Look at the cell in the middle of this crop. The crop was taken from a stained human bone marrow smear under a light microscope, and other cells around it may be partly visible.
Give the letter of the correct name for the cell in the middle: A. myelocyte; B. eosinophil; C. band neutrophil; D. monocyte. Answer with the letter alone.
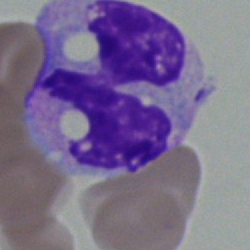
D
